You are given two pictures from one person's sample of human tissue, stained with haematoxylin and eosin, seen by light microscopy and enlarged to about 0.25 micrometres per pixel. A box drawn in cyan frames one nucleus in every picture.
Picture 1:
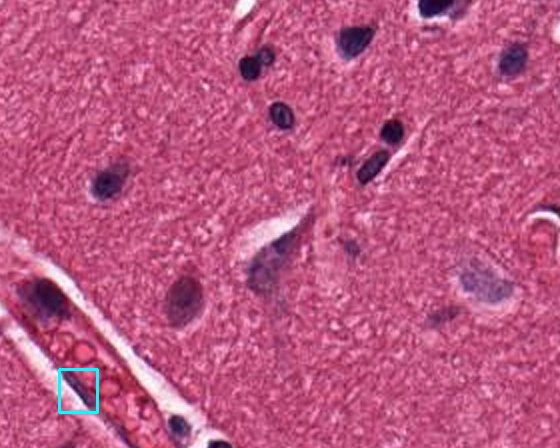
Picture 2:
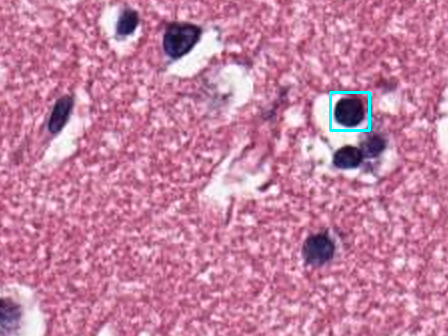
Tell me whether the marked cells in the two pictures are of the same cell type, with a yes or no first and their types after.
No, the first is an endothelial cell and the second an oligodendrocyte.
